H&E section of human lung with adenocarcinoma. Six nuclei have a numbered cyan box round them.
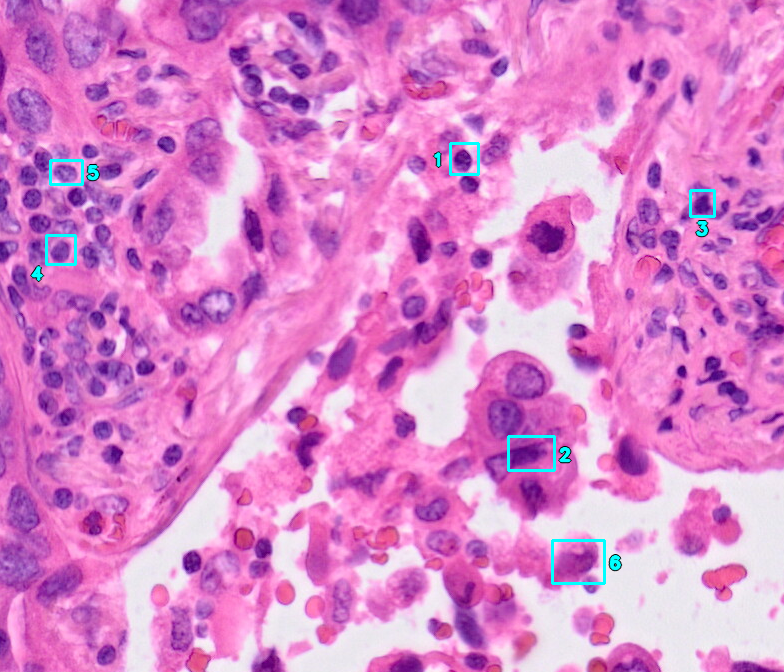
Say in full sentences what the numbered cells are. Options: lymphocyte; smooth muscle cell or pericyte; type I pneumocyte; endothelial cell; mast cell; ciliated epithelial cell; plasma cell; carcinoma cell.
Cells 1, 3, 4 and 5 are lymphocytes. Cells 2 and 6 are carcinoma cells.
